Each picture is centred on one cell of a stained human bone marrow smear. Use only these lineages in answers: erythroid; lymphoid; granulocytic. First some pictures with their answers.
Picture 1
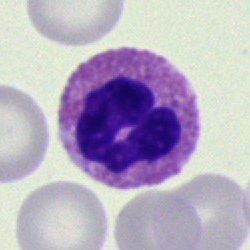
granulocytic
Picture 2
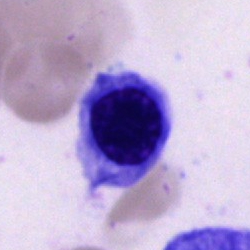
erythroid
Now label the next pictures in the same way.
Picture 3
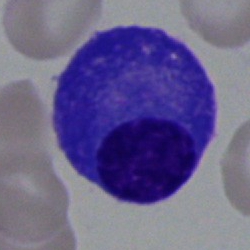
lymphoid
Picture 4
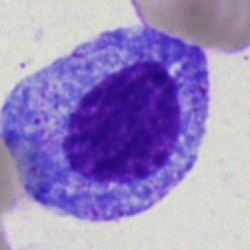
granulocytic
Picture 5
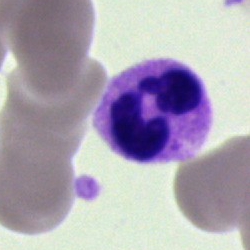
granulocytic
